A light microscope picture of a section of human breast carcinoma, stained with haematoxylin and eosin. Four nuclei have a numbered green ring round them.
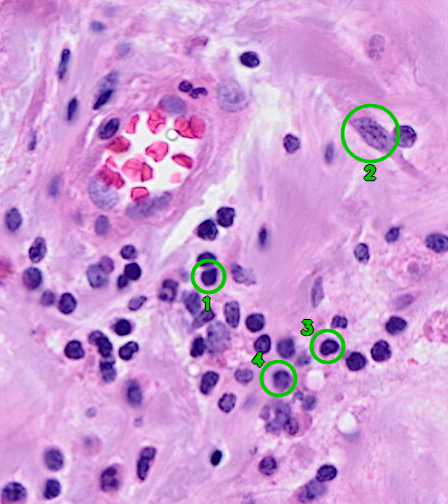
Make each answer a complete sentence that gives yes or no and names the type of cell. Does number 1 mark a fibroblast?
No, cell 1 is identified not as a fibroblast but as a lymphocyte.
